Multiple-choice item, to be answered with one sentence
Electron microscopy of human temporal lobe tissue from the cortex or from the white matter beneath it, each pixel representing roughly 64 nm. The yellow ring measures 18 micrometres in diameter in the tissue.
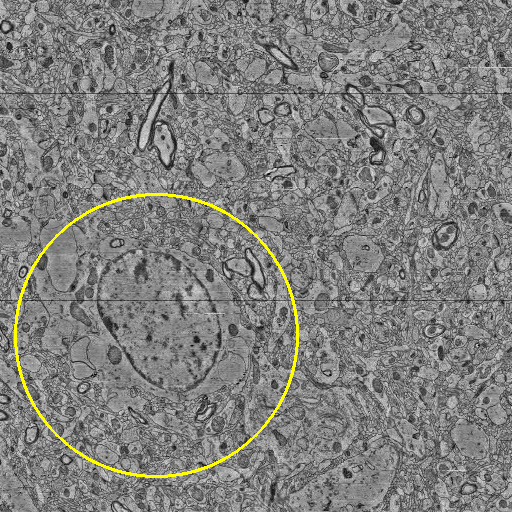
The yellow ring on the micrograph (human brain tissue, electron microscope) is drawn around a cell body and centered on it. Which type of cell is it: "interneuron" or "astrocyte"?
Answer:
The ring is centered on an astrocyte.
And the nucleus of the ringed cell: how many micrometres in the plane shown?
Approximately 10 by 7 micrometers in this plane.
